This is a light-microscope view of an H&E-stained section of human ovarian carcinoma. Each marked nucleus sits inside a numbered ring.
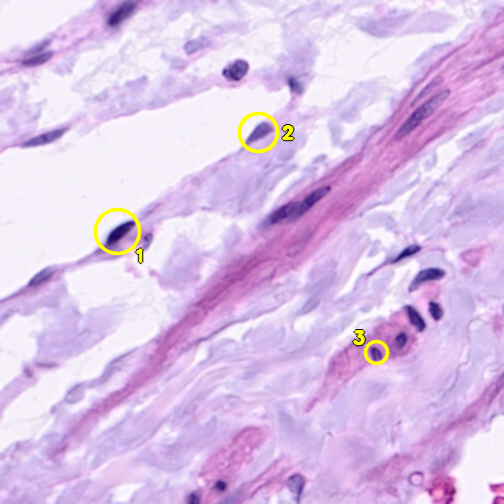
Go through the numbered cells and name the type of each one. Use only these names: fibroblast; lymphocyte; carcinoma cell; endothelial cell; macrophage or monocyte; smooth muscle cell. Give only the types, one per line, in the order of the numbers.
endothelial cell
endothelial cell
smooth muscle cell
